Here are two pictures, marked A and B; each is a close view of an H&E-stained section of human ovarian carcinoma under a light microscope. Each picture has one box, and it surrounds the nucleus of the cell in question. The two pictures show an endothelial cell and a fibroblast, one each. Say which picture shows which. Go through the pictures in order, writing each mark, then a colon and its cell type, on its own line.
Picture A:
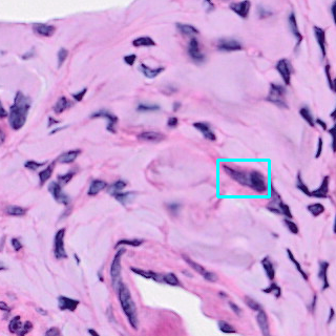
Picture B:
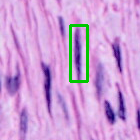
A: endothelial cell
B: fibroblast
